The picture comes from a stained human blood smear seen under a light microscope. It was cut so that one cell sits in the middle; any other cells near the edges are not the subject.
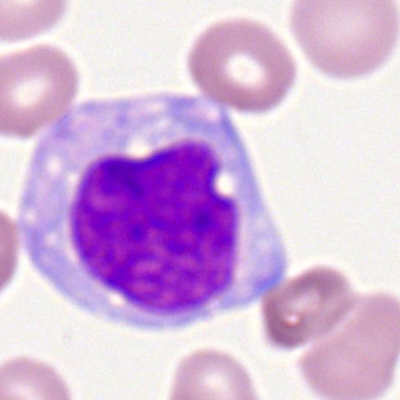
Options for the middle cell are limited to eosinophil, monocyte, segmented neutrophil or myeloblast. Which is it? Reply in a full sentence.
In the center of this field lies a monocyte.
